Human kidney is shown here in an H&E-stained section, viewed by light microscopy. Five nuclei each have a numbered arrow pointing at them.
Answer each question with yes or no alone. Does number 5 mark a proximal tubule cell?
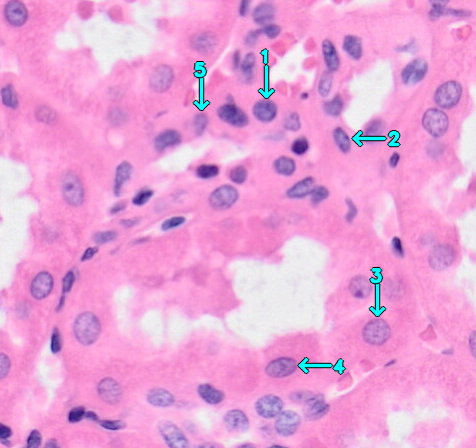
no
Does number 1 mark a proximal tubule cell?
no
